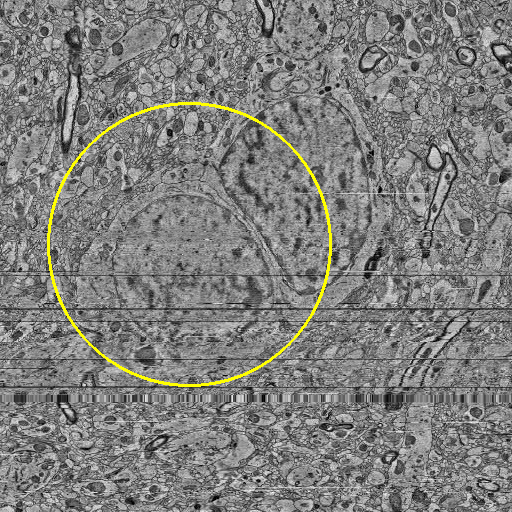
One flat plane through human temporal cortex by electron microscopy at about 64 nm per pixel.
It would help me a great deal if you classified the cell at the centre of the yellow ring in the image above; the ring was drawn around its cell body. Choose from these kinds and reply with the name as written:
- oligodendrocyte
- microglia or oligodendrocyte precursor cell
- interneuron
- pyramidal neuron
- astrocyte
interneuron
